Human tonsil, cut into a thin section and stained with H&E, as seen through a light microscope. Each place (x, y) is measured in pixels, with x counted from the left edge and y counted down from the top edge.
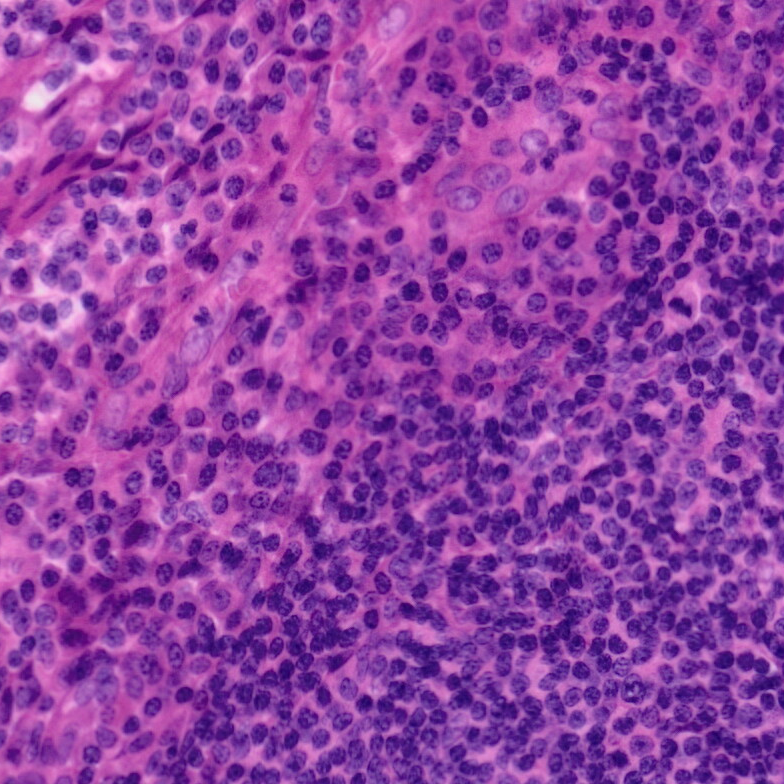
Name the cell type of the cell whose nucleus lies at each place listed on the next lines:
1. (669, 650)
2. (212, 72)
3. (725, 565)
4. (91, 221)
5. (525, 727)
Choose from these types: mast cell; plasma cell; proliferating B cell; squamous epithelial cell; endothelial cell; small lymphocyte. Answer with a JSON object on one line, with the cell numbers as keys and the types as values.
{"1": "small lymphocyte", "2": "plasma cell", "3": "small lymphocyte", "4": "plasma cell", "5": "small lymphocyte"}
